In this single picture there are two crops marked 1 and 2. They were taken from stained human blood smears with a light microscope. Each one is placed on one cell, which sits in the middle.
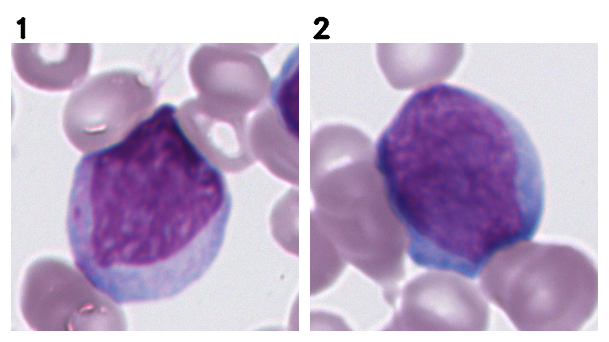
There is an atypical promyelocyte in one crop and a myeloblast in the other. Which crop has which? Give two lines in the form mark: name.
1: atypical promyelocyte
2: myeloblast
